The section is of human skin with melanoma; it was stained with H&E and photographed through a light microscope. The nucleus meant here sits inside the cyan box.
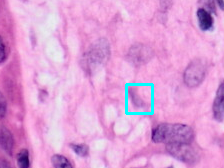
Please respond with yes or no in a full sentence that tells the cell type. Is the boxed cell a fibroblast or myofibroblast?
Yes, the naming of the boxed cell as a fibroblast or myofibroblast is correct.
